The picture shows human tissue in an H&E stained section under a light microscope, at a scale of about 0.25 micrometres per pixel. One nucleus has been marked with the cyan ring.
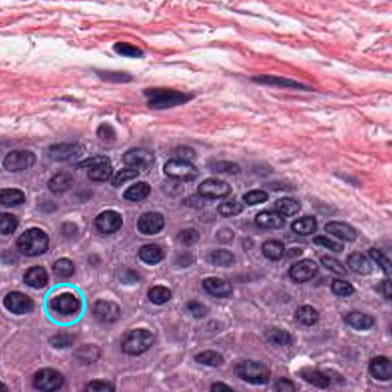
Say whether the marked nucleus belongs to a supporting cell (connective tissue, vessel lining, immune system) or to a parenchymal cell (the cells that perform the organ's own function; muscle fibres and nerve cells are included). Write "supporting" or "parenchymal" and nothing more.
parenchymal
